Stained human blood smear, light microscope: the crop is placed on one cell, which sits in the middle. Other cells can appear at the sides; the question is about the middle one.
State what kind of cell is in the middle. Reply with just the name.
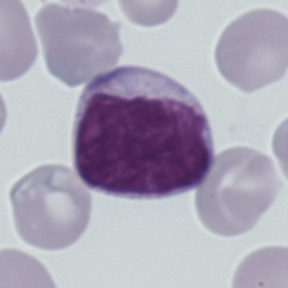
large granular lymphocyte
